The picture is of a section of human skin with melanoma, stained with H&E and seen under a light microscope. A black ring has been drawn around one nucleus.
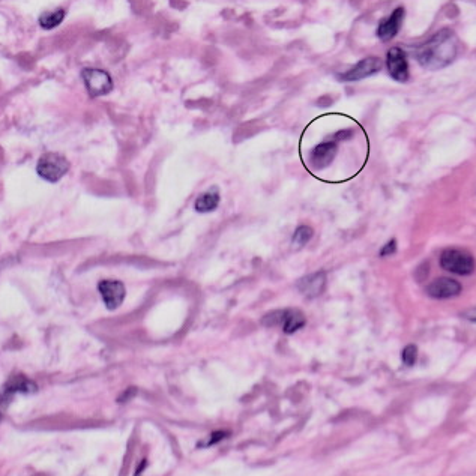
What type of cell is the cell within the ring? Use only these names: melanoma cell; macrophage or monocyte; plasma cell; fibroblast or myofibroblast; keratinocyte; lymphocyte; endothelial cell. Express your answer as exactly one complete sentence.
Cytologically, the cell within the ring is to be regarded as a fibroblast or myofibroblast.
